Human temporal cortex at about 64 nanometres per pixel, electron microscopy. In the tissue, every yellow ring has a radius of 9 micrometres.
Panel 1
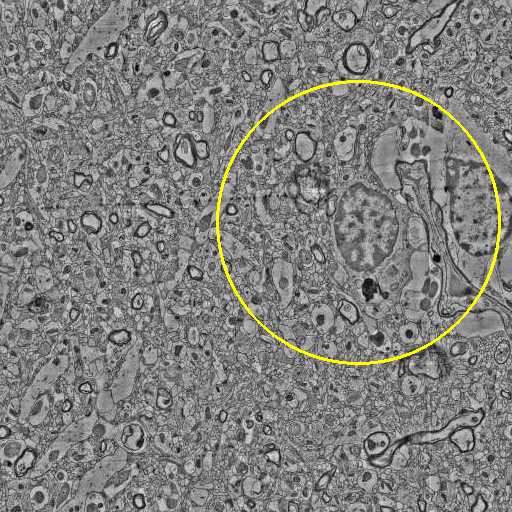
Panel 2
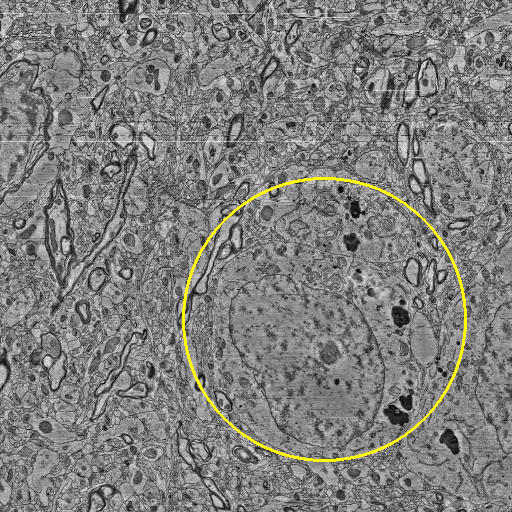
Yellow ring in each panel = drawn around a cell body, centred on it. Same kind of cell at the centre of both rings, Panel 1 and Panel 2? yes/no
no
